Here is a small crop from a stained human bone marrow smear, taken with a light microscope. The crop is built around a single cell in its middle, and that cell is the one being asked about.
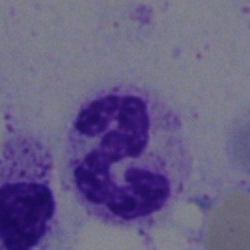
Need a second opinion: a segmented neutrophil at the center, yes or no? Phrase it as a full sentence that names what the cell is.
Yes, a segmented neutrophil is present in the middle of the crop.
